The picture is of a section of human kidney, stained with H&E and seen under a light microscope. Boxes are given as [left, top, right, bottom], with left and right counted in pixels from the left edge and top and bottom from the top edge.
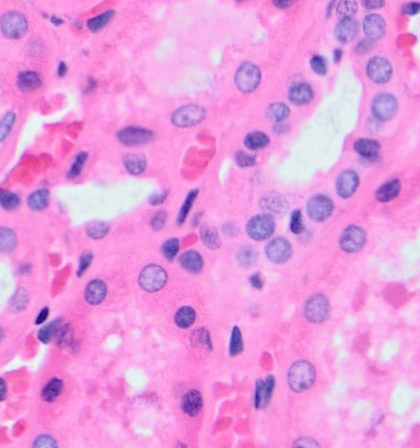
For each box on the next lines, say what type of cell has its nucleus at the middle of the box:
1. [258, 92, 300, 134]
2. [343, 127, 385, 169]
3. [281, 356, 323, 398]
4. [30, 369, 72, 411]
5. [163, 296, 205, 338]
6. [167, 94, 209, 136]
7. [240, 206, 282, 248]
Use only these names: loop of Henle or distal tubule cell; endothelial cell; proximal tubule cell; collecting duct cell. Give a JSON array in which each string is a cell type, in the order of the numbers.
["collecting duct cell", "collecting duct cell", "proximal tubule cell", "proximal tubule cell", "proximal tubule cell", "proximal tubule cell", "collecting duct cell"]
